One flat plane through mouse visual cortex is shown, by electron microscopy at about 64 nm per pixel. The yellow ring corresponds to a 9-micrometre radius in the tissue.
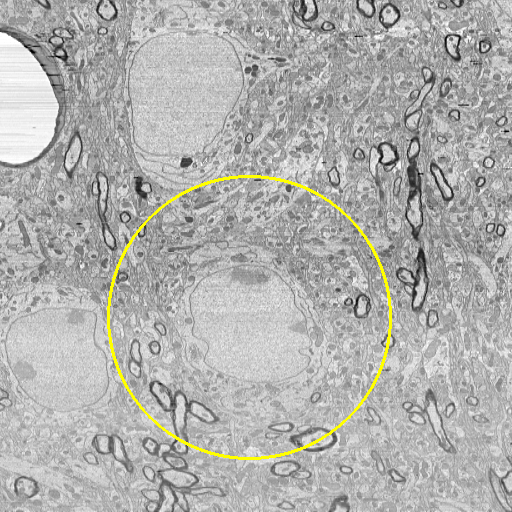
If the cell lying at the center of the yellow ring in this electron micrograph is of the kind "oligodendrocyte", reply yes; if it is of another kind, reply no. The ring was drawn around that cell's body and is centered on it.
no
